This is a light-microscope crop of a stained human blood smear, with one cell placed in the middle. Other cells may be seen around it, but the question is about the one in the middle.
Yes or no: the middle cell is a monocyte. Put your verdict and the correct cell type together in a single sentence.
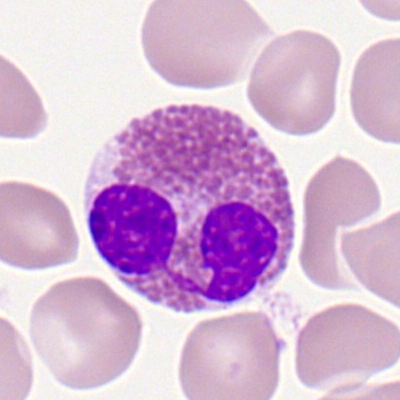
No, the cell in the middle is correctly named an eosinophil, not a monocyte.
